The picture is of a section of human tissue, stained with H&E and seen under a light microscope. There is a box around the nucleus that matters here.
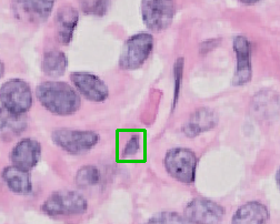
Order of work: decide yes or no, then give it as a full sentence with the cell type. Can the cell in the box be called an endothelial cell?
Yes, it is an endothelial cell that the cell in the box represents in this section.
